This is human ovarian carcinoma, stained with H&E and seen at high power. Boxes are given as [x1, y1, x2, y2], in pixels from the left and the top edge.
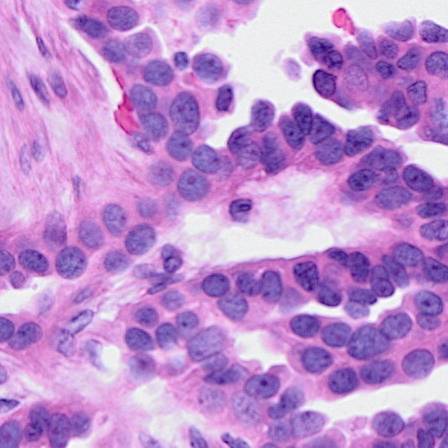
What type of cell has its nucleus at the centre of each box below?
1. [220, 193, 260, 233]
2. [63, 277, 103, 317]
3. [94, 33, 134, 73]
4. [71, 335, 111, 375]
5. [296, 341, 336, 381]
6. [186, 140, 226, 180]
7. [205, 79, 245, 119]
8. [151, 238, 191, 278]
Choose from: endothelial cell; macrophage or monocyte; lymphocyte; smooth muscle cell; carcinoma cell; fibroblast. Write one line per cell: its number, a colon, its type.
1: macrophage or monocyte
2: fibroblast
3: carcinoma cell
4: fibroblast
5: carcinoma cell
6: carcinoma cell
7: macrophage or monocyte
8: macrophage or monocyte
